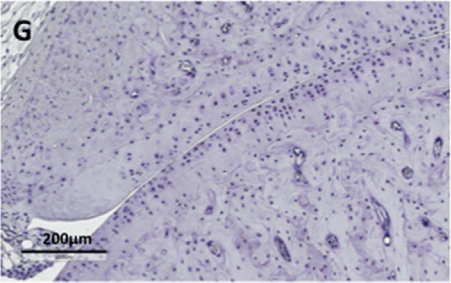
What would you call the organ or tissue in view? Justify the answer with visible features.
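Cells lie singly in lacunae within a smooth, pale-purple matrix. Rows and clusters of rounded cells line up along a tissue boundary.
Cartilage.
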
